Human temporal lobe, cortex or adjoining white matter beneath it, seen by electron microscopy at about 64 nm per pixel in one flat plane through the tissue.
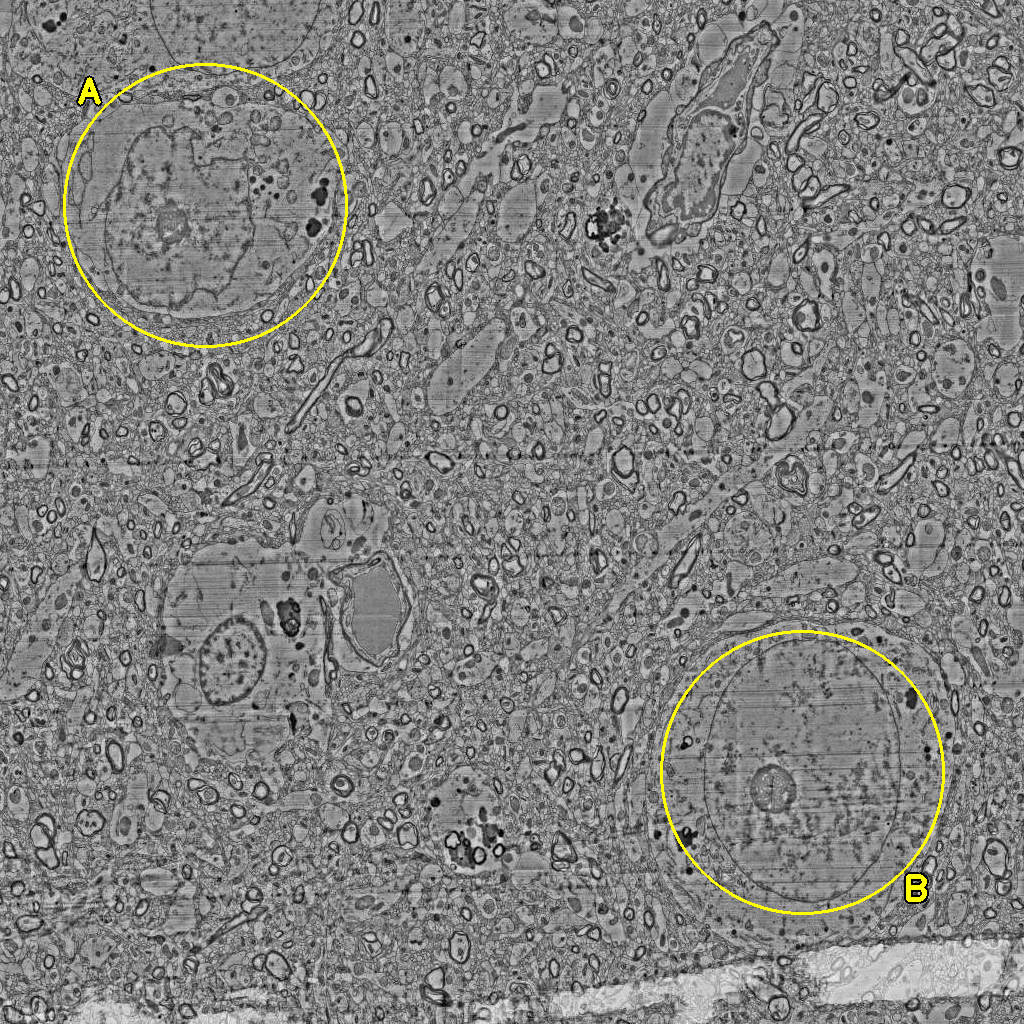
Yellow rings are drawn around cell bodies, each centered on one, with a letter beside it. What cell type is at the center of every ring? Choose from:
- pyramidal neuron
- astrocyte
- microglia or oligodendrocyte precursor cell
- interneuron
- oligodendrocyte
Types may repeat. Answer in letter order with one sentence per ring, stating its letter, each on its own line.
The cell at the center of ring A is an interneuron.
The cell at the center of ring B is a pyramidal neuron.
